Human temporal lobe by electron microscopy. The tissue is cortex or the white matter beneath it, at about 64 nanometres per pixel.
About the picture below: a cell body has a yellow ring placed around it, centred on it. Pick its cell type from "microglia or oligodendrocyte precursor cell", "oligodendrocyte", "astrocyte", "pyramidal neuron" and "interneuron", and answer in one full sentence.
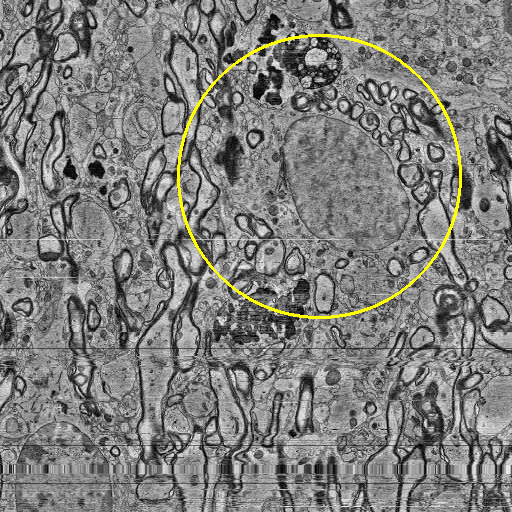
In the picture, an oligodendrocyte is the cell sitting at the centre of the yellow ring.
